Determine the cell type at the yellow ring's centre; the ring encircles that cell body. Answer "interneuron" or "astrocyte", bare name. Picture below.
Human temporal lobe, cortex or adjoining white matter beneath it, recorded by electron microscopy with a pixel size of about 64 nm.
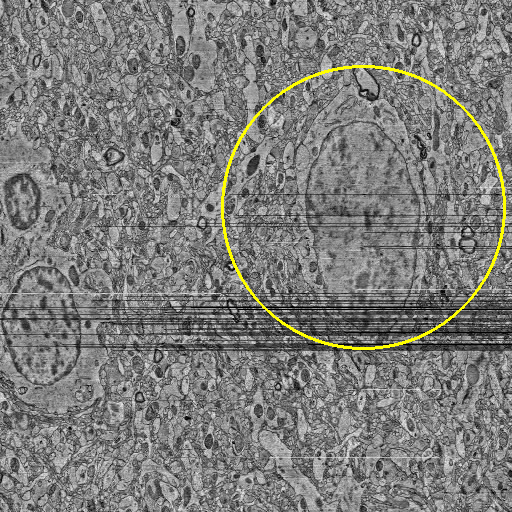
interneuron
